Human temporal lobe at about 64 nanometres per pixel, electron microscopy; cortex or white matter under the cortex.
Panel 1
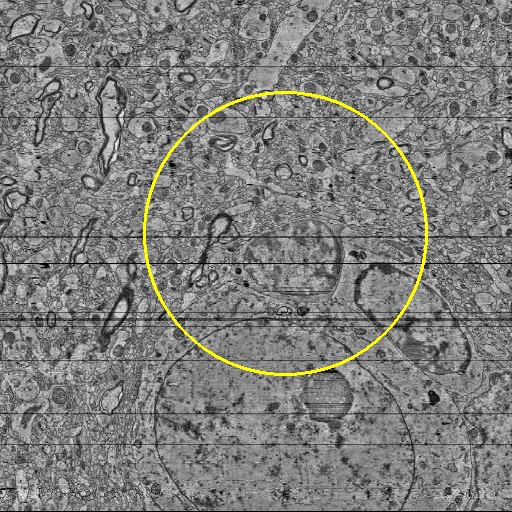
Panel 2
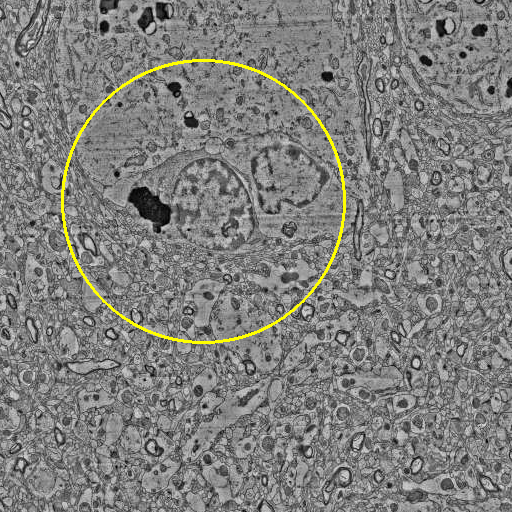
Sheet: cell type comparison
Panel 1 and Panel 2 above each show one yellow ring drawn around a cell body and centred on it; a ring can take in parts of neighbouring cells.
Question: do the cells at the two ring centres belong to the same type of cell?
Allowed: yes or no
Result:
yes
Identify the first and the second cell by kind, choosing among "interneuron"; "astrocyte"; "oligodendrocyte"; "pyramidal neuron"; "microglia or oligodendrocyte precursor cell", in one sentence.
Each of the ringed cells, first and second, is an oligodendrocyte.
